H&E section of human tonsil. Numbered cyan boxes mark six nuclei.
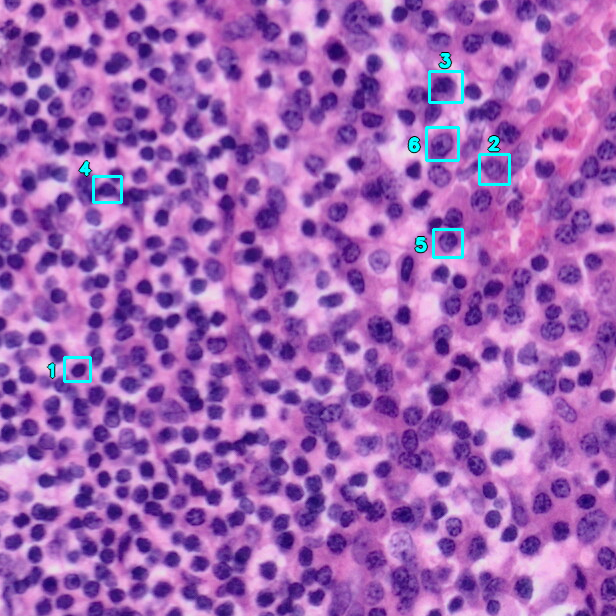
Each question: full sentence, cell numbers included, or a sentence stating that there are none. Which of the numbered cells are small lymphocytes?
Cells 1 and 4 are recognised here as small lymphocytes.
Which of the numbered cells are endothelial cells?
As regards the numbered cells, endothelial cells are not represented.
